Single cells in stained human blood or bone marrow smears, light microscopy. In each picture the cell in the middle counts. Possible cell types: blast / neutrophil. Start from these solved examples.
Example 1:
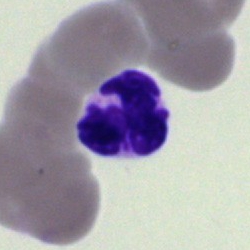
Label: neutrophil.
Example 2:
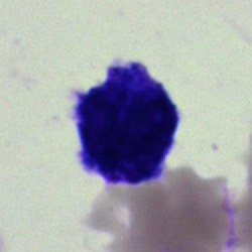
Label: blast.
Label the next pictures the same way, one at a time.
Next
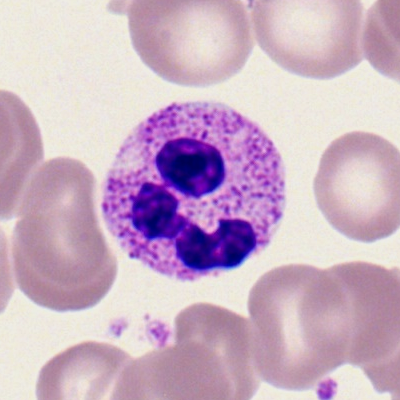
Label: neutrophil.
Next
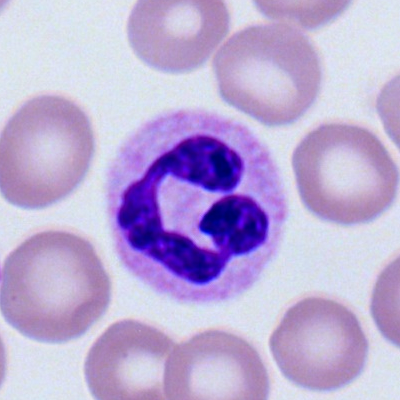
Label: neutrophil.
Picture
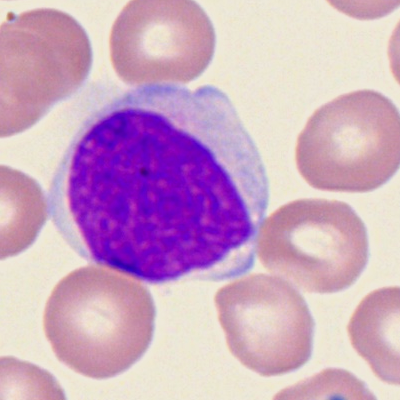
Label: blast.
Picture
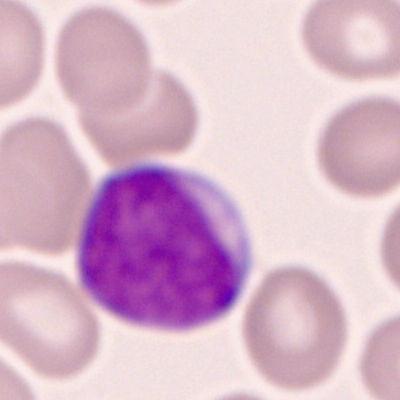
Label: blast.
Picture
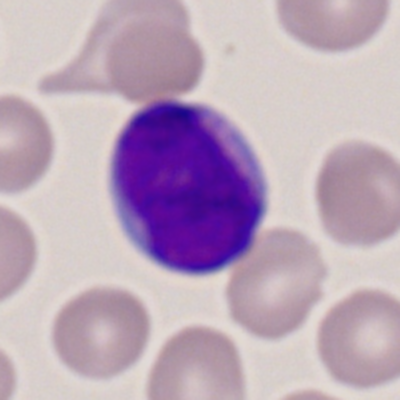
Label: blast.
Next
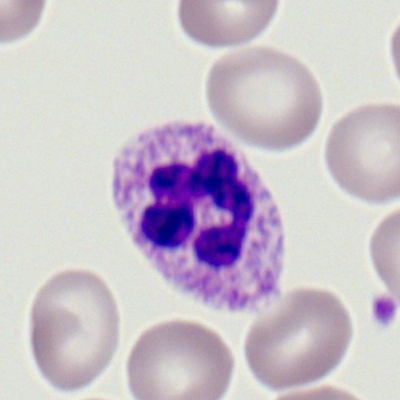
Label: neutrophil.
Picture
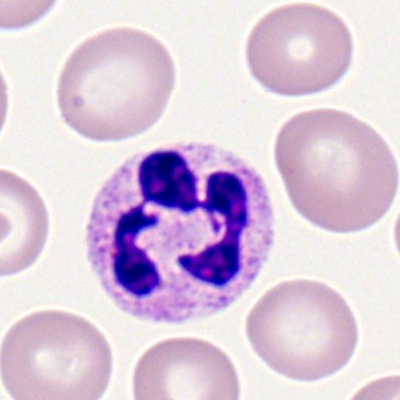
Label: neutrophil.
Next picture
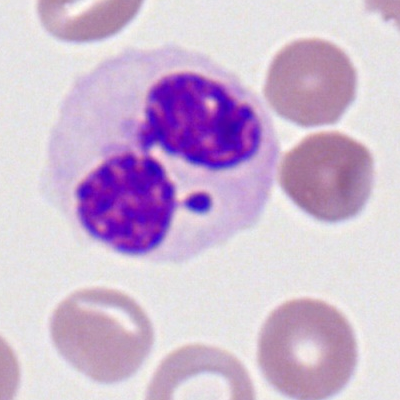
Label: neutrophil.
